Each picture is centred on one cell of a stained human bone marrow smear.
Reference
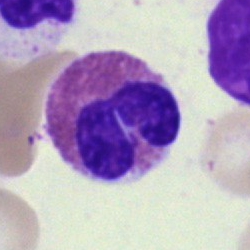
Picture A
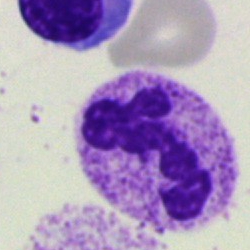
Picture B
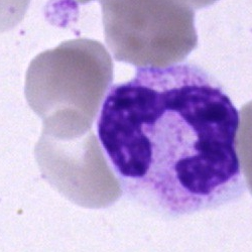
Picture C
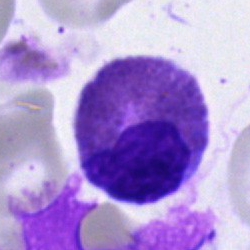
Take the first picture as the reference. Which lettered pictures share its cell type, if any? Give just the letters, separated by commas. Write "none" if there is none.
C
